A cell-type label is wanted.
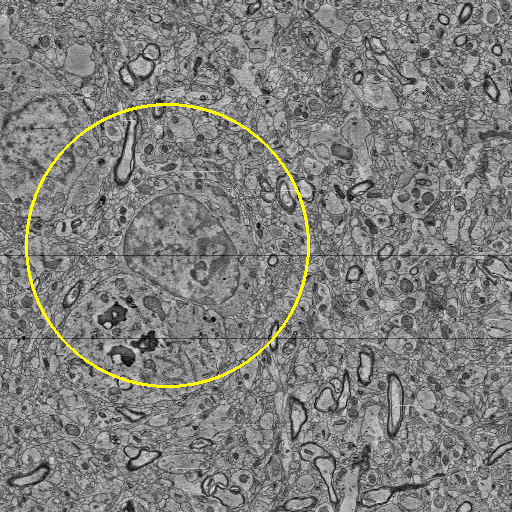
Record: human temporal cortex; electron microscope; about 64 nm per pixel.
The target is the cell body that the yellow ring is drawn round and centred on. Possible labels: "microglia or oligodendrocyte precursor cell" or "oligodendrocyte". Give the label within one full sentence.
Of the labels offered, the cell in the middle of the yellow ring is an oligodendrocyte.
